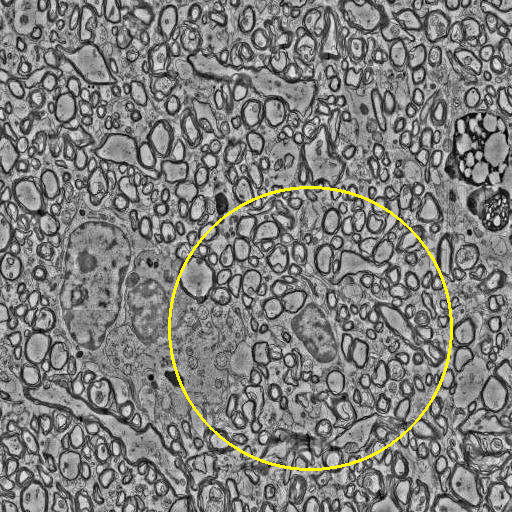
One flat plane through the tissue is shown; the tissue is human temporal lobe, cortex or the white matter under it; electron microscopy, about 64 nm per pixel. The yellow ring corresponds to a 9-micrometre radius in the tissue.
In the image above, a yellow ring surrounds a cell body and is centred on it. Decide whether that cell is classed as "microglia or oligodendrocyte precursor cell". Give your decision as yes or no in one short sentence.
Yes, it is classed as that kind.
